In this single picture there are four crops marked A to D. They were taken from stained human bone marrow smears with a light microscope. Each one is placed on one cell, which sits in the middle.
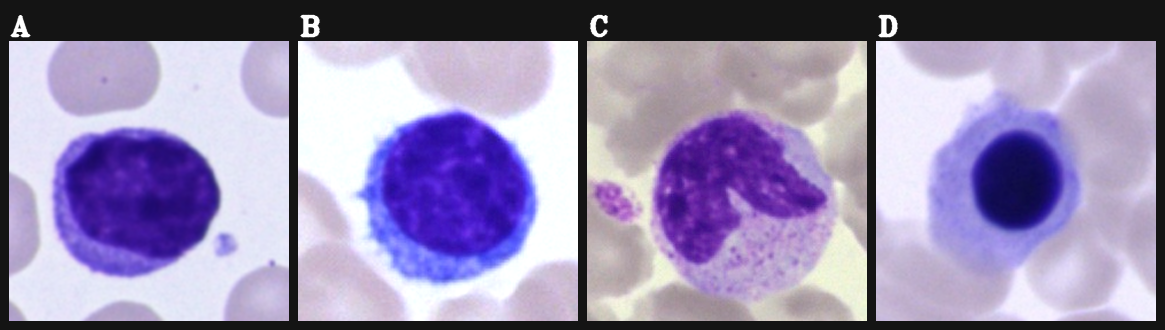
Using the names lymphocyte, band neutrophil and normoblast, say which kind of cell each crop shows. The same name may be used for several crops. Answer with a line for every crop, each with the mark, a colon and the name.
A: lymphocyte
B: lymphocyte
C: band neutrophil
D: normoblast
